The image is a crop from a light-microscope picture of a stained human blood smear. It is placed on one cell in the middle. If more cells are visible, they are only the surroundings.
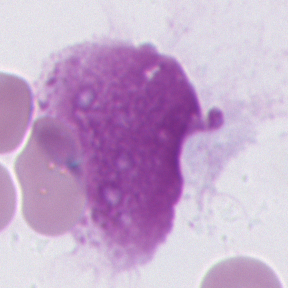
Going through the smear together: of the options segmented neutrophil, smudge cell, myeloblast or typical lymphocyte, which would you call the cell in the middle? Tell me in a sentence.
The middle position in this crop is taken by a smudge cell.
